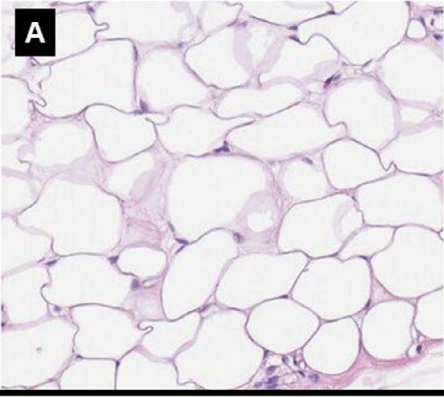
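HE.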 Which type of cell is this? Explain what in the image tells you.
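Large polygonal clear vacuoles packed side by side. Each bounded by a thin pink rim. Few small flattened nuclei at the rims.
Answer: Adipose cells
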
